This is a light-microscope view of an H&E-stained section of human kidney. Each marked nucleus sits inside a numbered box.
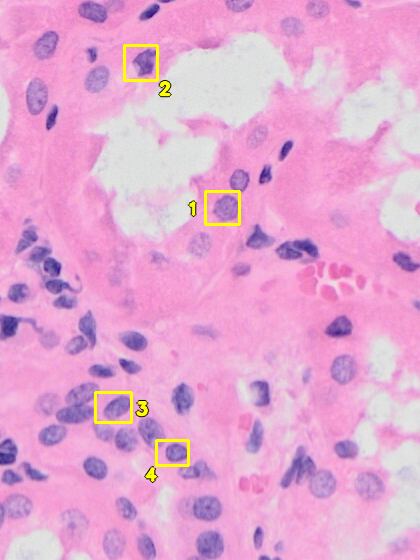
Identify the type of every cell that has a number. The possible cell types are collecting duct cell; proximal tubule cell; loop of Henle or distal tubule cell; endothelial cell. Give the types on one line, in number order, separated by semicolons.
proximal tubule cell; proximal tubule cell; collecting duct cell; collecting duct cell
